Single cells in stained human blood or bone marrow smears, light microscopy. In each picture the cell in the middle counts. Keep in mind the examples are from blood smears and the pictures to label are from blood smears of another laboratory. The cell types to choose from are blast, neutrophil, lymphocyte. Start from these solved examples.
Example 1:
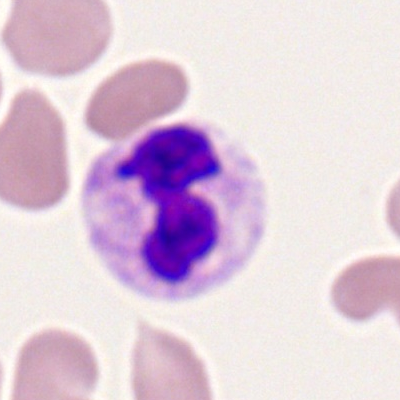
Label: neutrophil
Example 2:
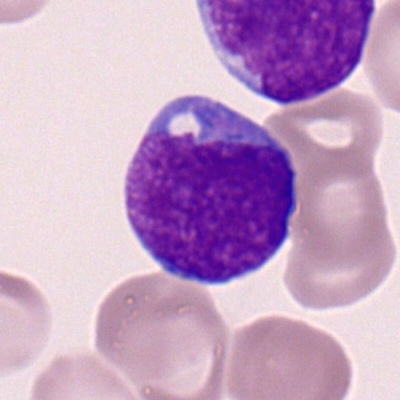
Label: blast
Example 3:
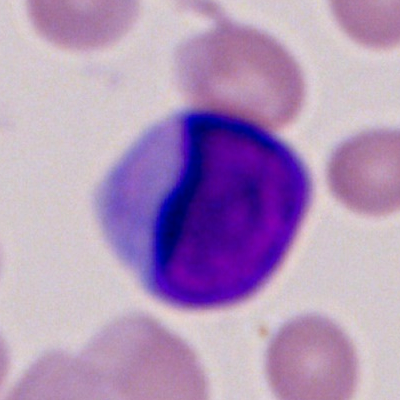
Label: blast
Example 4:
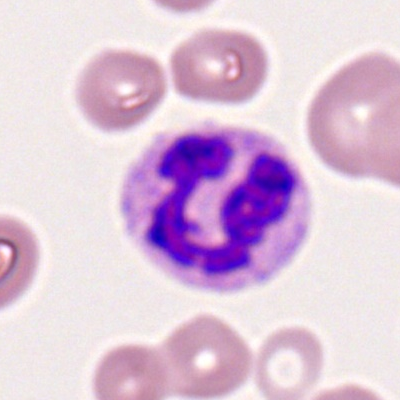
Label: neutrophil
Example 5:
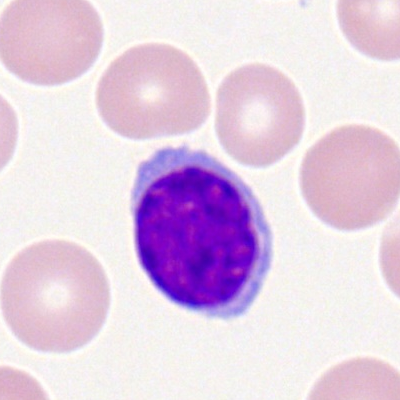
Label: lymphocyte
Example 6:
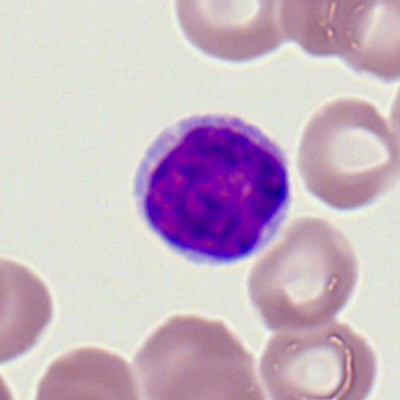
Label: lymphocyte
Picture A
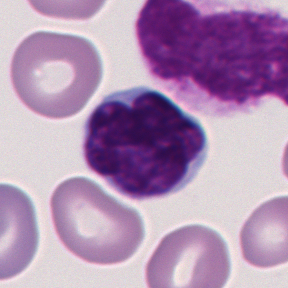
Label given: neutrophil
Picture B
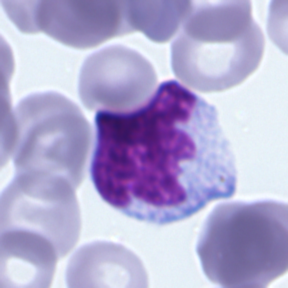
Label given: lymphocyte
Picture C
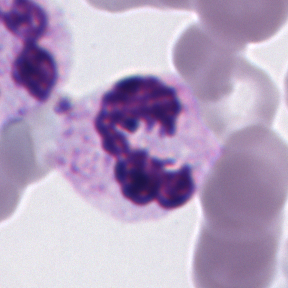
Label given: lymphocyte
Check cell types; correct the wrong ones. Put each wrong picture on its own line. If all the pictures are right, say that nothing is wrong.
A: change neutrophil to lymphocyte
C: change lymphocyte to neutrophil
